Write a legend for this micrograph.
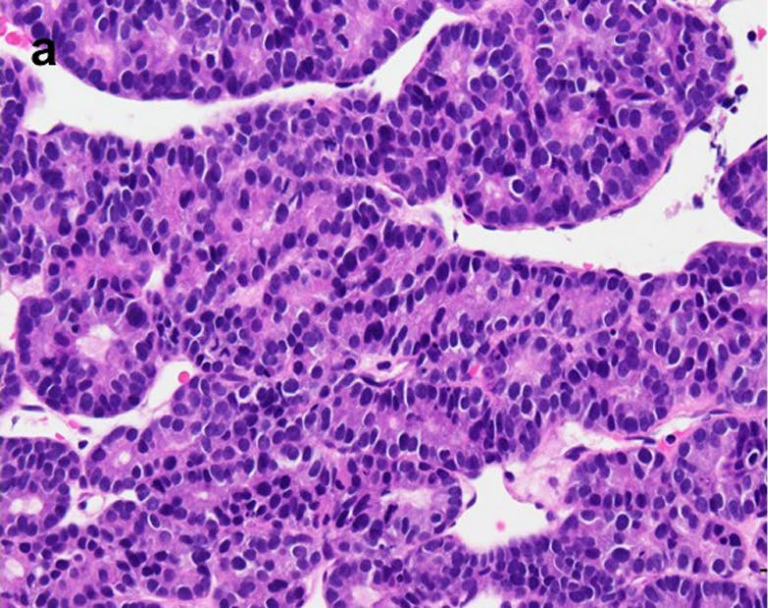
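This is a tumor made of small, atypical epithelial cells growing densely in nests and sheets. The cells form many small glandular cavities, with tall cells arranged radially around tiny central lumina. Thin strands of stroma and clefts separate the cell nests from one another.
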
